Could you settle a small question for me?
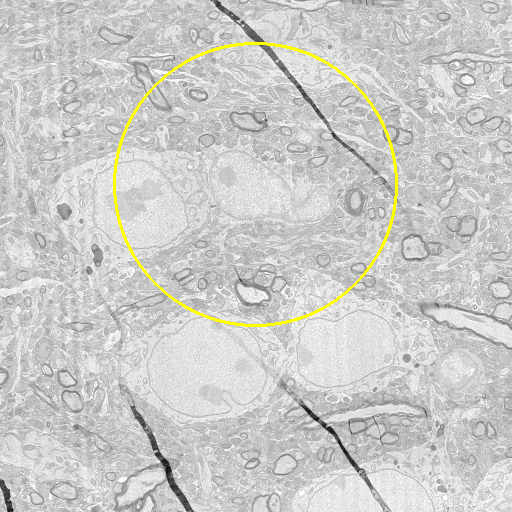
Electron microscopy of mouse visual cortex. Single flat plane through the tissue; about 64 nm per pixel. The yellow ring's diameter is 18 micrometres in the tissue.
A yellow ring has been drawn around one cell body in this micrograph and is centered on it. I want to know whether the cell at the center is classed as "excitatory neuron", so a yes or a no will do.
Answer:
no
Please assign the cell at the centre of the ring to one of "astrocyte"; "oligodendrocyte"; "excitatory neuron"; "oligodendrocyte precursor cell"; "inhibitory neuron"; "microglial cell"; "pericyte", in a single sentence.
The ring's central cell is an astrocyte instead.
